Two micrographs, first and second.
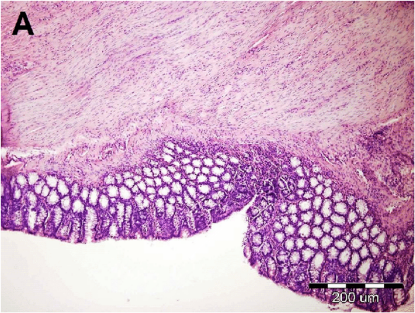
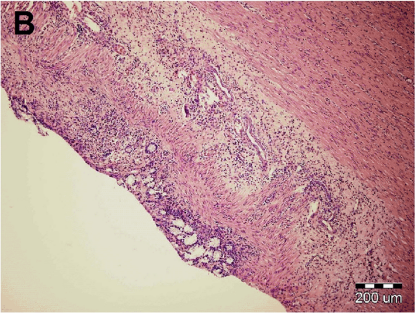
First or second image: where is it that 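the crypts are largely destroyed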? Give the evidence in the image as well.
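The second image. Second image: only a few distorted crypt remnants remain amid cellular, inflamed tissue. First image: a continuous band of regular, densely packed crypts lines the mucosa.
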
